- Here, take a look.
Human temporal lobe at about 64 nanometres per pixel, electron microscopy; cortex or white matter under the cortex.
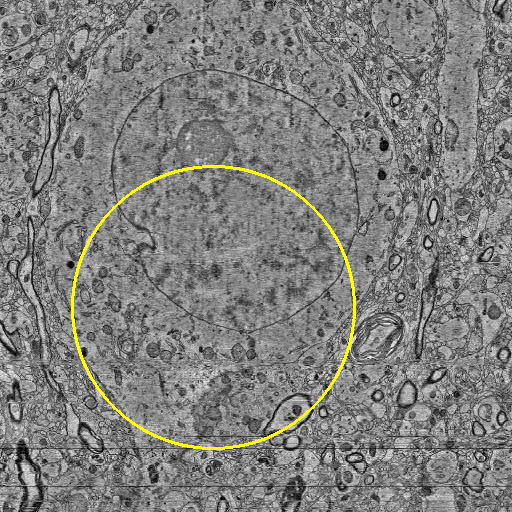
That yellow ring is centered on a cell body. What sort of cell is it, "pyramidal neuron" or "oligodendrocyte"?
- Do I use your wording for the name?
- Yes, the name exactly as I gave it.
pyramidal neuron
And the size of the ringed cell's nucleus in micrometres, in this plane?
Roughly 17 micrometers across, in this plane.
